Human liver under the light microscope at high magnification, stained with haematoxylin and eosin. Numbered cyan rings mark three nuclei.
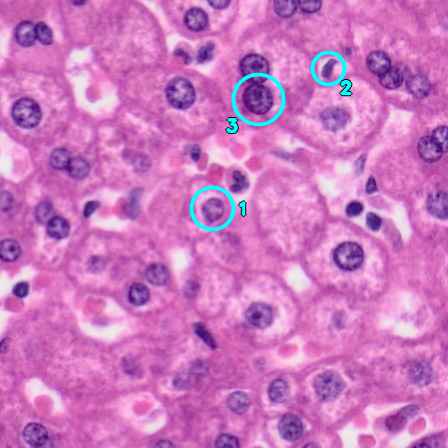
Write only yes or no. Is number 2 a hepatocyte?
no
